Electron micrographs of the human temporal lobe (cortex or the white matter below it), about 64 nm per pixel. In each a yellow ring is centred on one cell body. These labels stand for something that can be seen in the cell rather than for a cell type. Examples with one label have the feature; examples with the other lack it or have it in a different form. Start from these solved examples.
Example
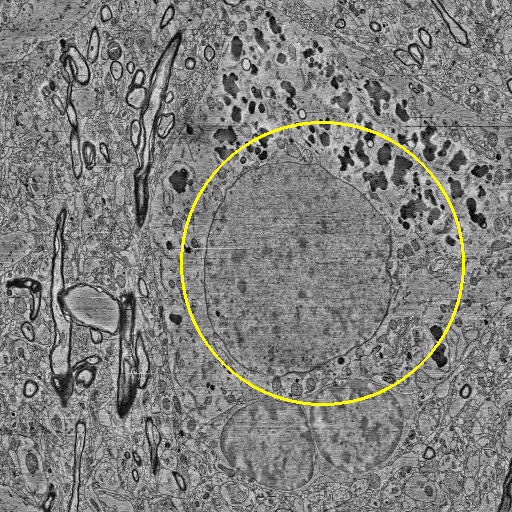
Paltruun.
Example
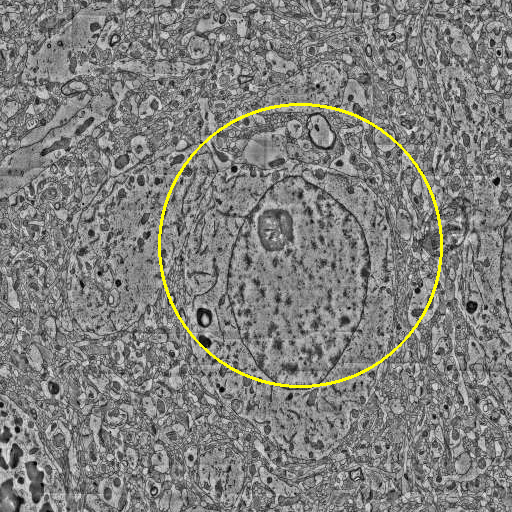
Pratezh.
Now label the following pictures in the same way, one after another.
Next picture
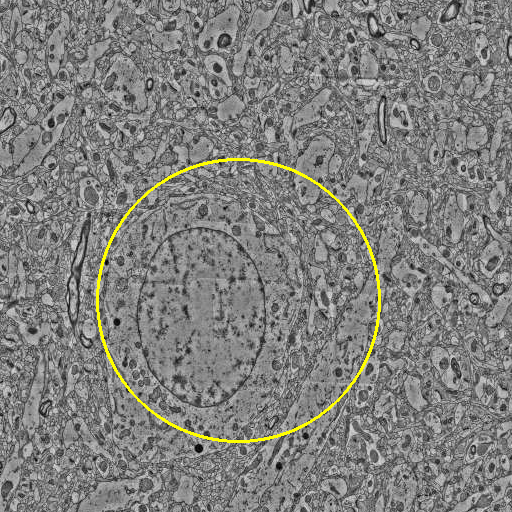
Paltruun.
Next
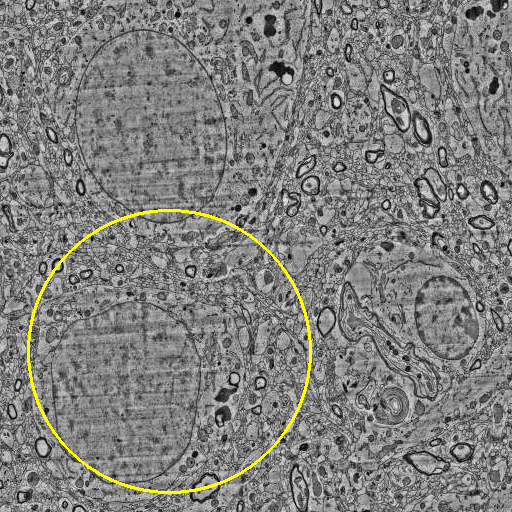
Paltruun.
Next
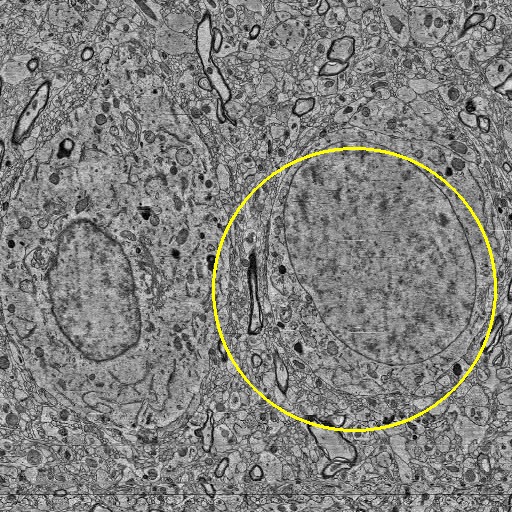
Paltruun.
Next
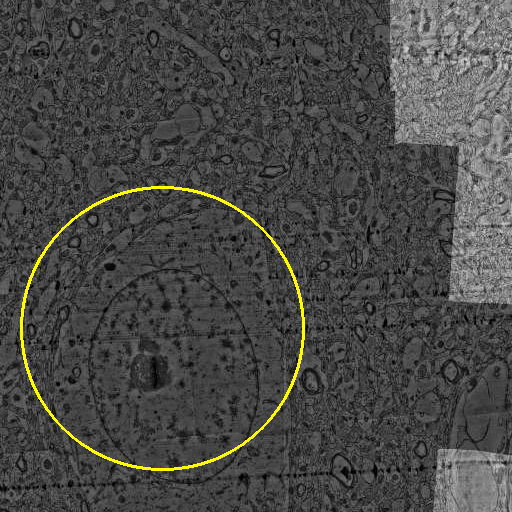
Pratezh.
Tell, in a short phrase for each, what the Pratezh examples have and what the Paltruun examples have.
In Pratezh: nucleolus seen. In Paltruun: no nucleolus seen.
